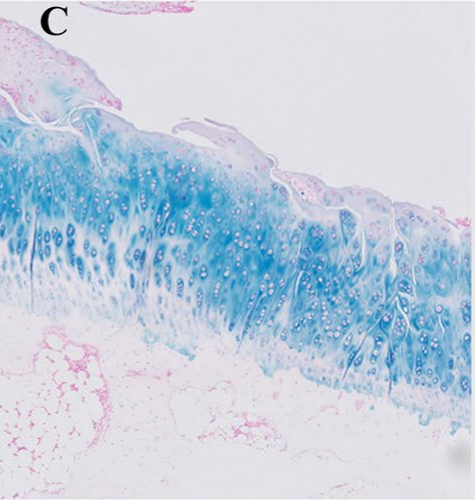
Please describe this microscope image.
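The surface is broken: thin paler flaps peel away from the top and clefts run into the blue layer. Beneath the cartilage lies pale fatty marrow tissue.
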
